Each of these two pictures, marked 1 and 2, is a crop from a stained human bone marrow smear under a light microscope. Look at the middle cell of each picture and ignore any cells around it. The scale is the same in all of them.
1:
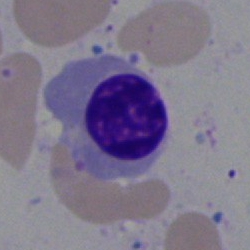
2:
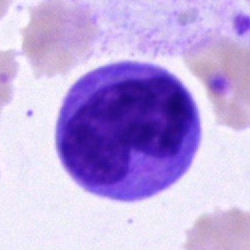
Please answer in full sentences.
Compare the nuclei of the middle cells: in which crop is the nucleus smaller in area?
It is the nucleus in crop 1; the one in crop 2 has about 2 times its area.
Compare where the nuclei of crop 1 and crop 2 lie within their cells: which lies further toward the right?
The nucleus in crop 1 lies further toward the right of its cell.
